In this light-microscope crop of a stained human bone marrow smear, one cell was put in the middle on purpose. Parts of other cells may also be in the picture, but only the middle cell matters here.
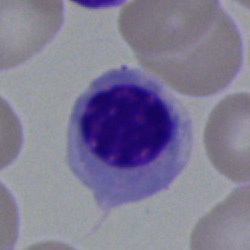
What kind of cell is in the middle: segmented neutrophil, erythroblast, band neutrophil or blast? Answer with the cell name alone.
erythroblast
